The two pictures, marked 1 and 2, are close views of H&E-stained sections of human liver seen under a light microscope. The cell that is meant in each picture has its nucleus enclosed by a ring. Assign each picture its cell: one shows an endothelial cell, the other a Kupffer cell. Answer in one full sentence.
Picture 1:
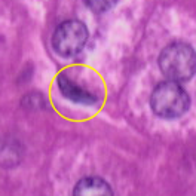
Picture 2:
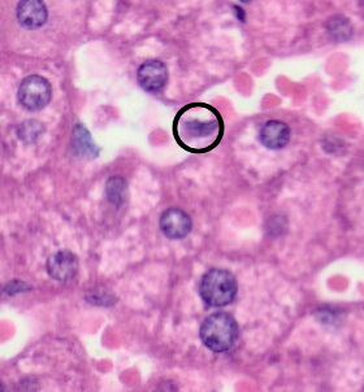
In picture 1 the cell is an endothelial cell; in picture 2, a Kupffer cell.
